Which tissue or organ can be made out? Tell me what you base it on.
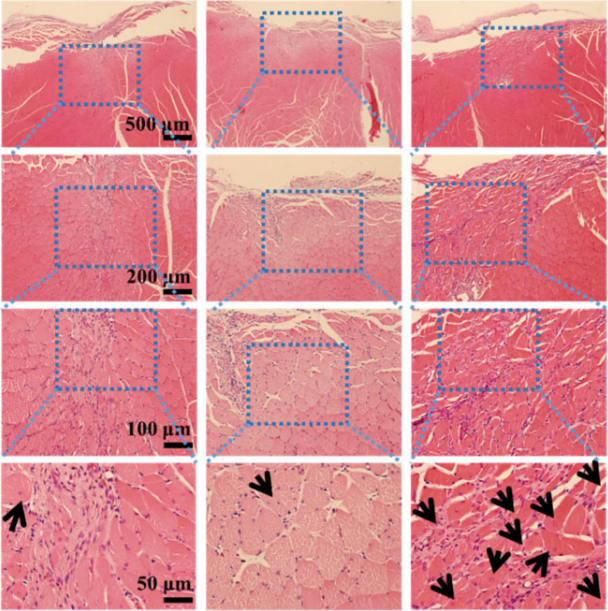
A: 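Muscle tissue. Pink-staining fibers cut in cross-section as polygonal profiles. Small purple nuclei at the edges of the fibers. Fibers packed in bundles with thin pale spaces between them.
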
